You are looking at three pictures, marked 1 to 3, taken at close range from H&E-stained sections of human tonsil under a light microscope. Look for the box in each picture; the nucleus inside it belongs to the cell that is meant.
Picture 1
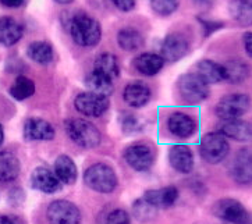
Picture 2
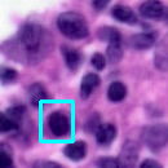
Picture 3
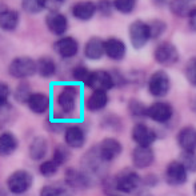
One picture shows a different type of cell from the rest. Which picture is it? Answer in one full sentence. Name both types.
The different one is picture 3; it shows a small lymphocyte, whereas all the others show plasma cells.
